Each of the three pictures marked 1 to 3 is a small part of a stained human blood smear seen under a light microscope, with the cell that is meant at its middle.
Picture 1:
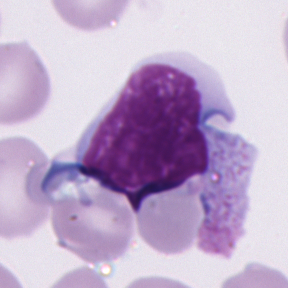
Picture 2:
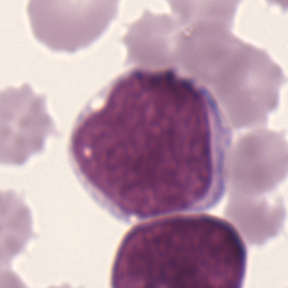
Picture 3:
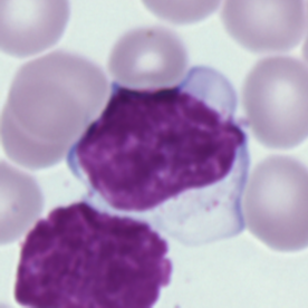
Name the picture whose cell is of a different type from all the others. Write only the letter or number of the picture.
2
